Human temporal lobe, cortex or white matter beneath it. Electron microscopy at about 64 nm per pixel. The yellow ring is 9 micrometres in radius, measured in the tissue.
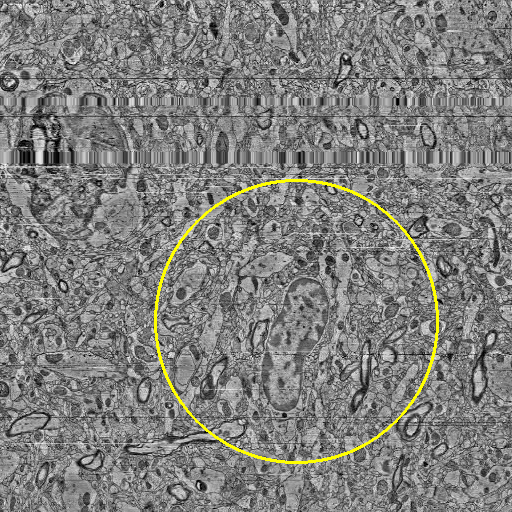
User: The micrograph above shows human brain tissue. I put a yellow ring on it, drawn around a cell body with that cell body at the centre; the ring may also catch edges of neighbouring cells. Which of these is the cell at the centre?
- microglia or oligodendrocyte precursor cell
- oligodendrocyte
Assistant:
microglia or oligodendrocyte precursor cell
